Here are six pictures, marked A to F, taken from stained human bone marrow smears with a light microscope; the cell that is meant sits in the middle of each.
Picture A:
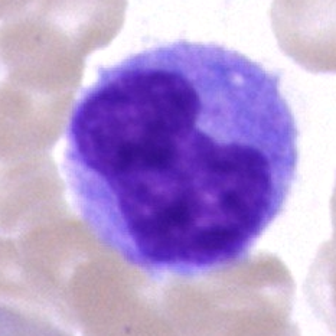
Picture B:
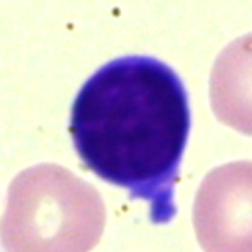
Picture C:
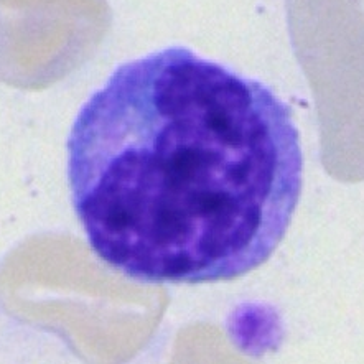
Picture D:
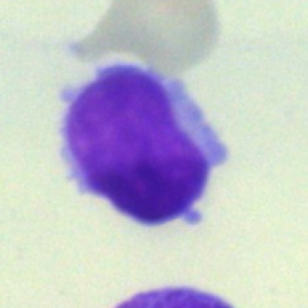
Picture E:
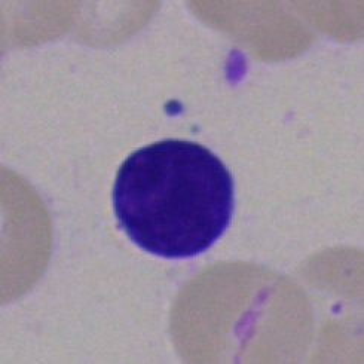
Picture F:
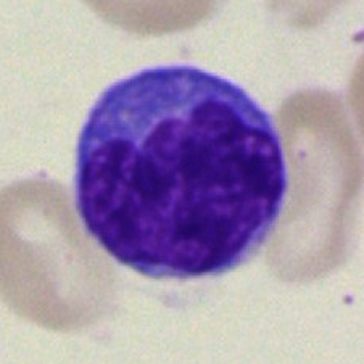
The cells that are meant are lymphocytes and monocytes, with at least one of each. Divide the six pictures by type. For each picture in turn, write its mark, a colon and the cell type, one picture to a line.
A: monocyte
B: lymphocyte
C: monocyte
D: lymphocyte
E: lymphocyte
F: monocyte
